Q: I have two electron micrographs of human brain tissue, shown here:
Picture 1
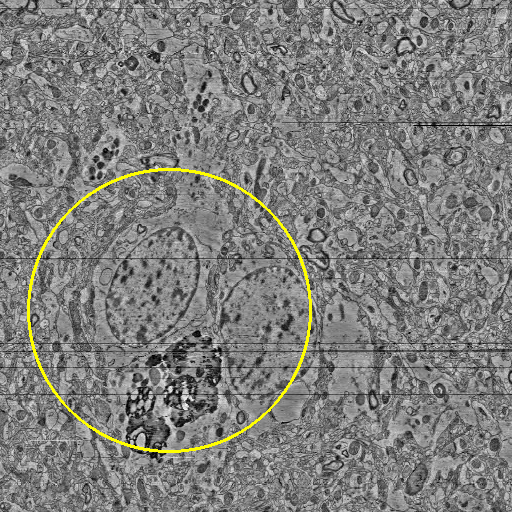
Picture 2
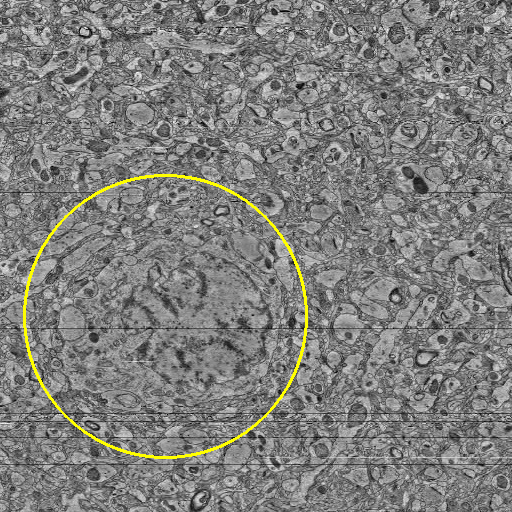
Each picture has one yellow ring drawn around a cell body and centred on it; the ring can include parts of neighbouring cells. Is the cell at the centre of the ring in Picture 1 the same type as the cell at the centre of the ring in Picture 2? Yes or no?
no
